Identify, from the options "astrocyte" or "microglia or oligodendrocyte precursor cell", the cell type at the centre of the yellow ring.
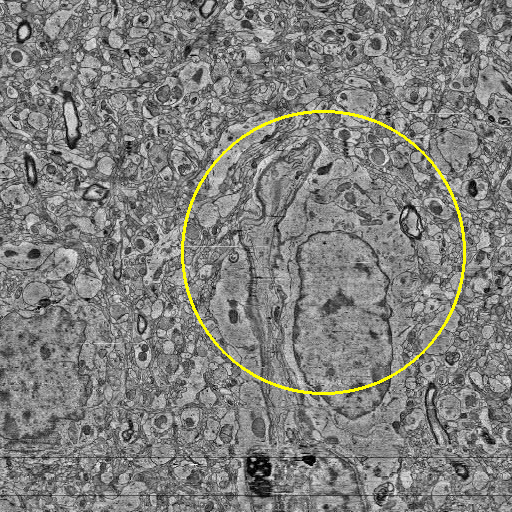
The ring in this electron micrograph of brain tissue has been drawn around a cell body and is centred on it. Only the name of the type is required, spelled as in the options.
microglia or oligodendrocyte precursor cell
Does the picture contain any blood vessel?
Yes, one shows.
